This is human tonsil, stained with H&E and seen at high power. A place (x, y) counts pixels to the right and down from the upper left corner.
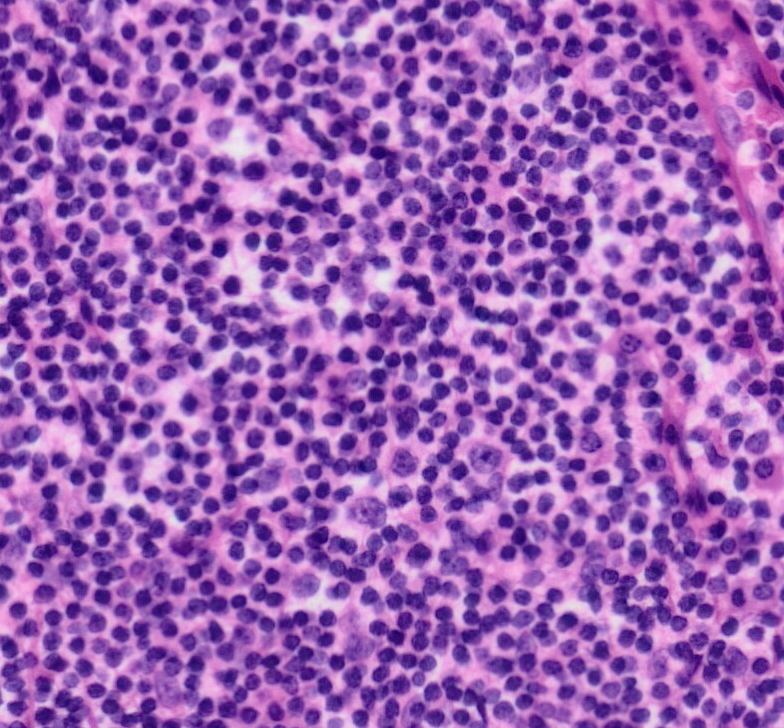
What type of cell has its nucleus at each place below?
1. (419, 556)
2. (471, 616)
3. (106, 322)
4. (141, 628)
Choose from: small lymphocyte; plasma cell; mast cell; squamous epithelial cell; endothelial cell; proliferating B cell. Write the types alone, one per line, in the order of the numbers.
proliferating B cell
small lymphocyte
small lymphocyte
small lymphocyte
